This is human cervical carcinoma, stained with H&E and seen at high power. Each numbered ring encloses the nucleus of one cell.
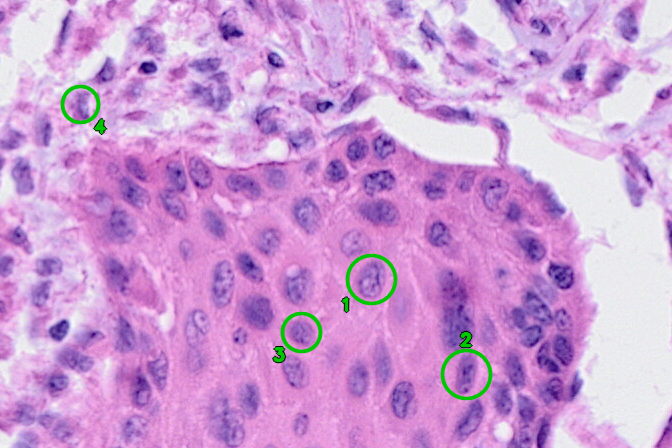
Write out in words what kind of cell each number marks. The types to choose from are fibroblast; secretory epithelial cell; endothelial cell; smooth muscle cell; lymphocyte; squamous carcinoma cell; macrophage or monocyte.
Cell 1 is a squamous carcinoma cell, cell 2 is a squamous carcinoma cell, cell 3 is a squamous carcinoma cell and cell 4 is a fibroblast.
